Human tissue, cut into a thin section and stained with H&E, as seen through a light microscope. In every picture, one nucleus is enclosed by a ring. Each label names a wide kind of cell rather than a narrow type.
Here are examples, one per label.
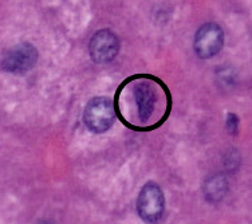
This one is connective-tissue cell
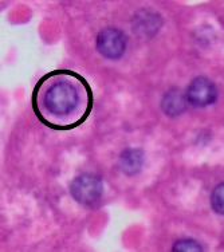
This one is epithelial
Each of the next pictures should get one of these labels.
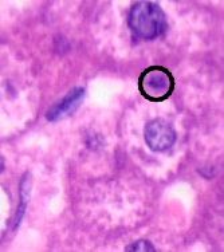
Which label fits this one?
connective-tissue cell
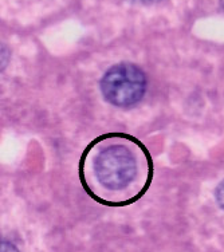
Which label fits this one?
epithelial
